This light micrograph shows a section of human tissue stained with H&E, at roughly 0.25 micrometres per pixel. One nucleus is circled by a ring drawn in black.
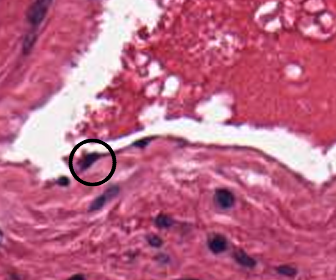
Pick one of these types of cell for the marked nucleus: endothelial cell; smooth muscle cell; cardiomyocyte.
endothelial cell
